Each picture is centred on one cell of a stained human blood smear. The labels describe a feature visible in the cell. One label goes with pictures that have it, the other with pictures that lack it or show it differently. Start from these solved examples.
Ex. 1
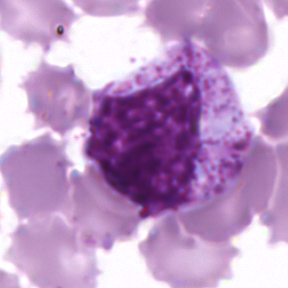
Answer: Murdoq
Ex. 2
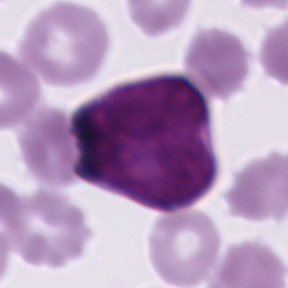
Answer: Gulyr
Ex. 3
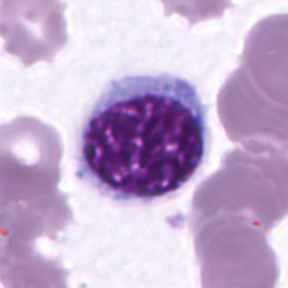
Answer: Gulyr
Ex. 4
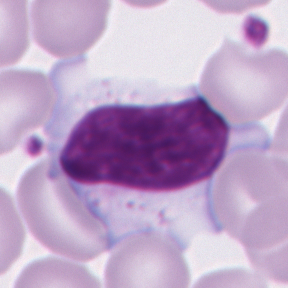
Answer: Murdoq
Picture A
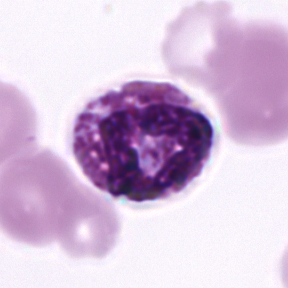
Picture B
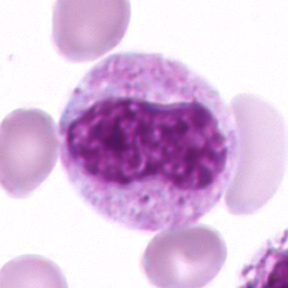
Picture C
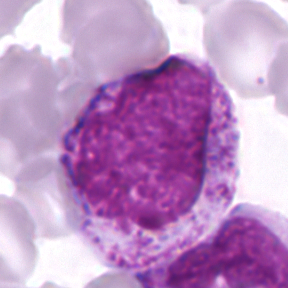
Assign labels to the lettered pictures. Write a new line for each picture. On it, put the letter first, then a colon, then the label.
A: Gulyr
B: Murdoq
C: Gulyr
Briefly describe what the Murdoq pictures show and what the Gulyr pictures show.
In Murdoq: abundant cytoplasm. In Gulyr: scant cytoplasm.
